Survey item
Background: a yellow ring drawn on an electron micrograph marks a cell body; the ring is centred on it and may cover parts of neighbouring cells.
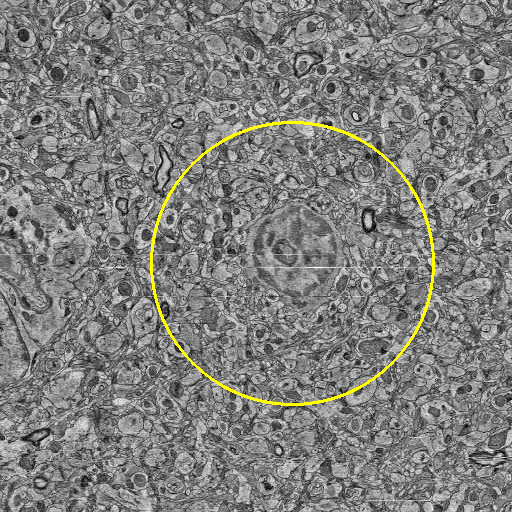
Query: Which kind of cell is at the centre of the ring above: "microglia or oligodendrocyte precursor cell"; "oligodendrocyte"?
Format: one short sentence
The cell in the middle of the ring is an oligodendrocyte.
